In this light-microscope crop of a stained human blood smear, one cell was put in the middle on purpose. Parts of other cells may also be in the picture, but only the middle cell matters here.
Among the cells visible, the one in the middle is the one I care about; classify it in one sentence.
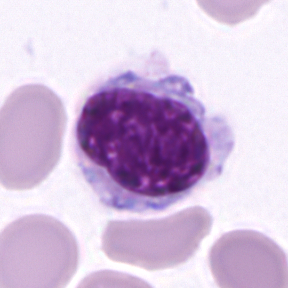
The cell at the heart of this crop is a plasma cell.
